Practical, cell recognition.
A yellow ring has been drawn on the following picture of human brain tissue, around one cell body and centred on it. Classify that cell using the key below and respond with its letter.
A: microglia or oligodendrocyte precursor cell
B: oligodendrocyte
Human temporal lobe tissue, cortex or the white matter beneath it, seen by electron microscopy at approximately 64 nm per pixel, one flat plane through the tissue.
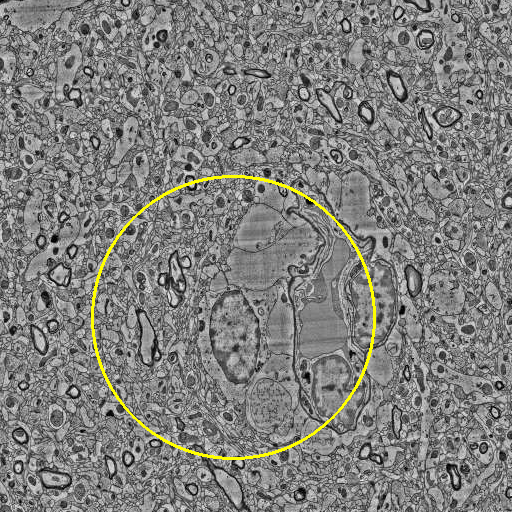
A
